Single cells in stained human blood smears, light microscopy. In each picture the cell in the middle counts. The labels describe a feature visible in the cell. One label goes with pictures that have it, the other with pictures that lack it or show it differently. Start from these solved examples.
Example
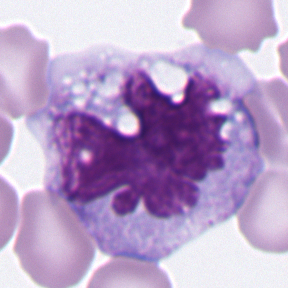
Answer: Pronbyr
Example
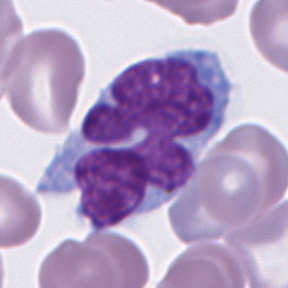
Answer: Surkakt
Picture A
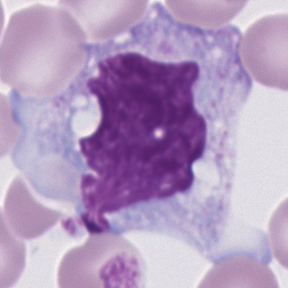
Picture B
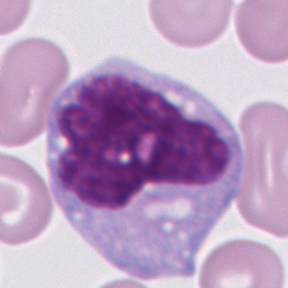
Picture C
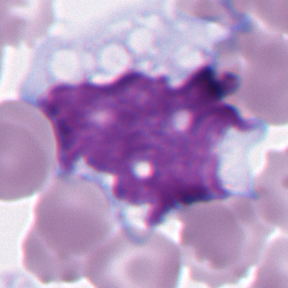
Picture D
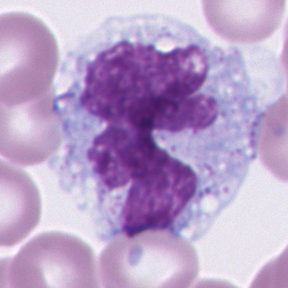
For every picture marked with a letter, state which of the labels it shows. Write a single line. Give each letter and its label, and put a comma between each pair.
A Pronbyr, B Pronbyr, C Surkakt, D Pronbyr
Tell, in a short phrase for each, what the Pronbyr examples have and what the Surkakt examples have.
In Pronbyr: abundant cytoplasm. In Surkakt: scant cytoplasm.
